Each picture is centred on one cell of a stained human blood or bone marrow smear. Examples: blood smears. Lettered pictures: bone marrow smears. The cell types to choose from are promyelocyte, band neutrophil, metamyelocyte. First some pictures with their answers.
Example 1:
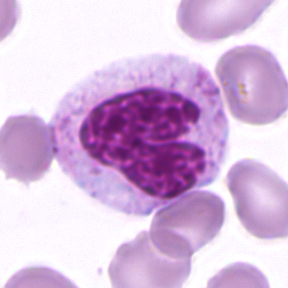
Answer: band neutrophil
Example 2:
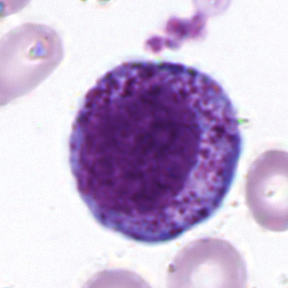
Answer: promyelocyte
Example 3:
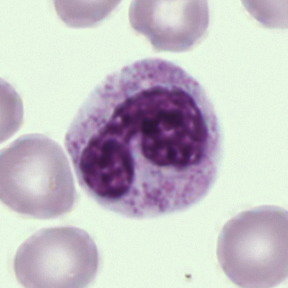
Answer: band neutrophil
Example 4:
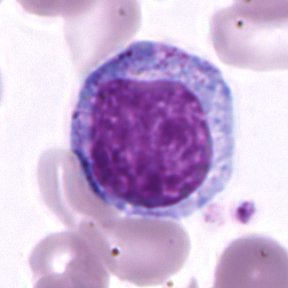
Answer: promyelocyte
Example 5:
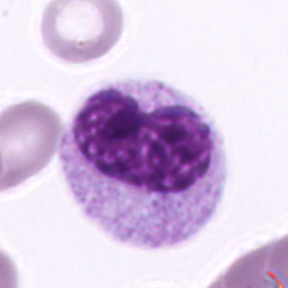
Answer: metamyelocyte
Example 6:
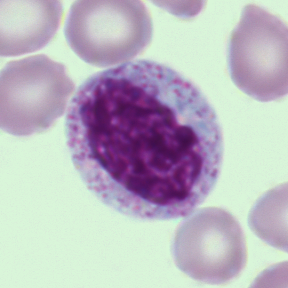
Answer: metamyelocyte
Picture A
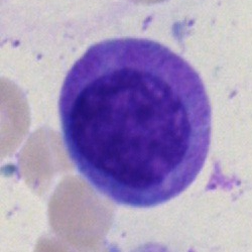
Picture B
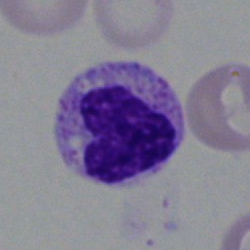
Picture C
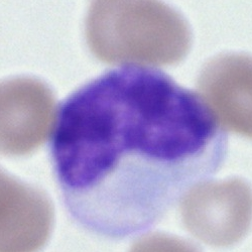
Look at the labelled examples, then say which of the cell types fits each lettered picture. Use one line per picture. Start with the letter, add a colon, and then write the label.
A: promyelocyte
B: metamyelocyte
C: metamyelocyte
